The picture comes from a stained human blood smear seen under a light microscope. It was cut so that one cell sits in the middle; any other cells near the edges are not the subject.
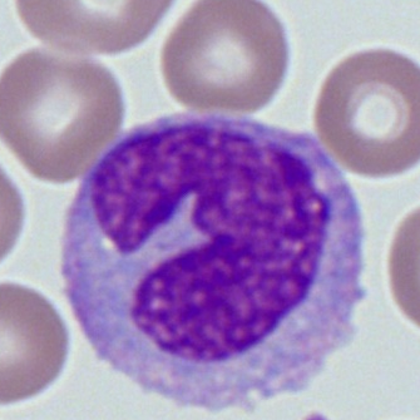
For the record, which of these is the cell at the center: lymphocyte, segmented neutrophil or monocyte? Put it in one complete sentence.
The cell featured at the centre of this crop is a monocyte.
